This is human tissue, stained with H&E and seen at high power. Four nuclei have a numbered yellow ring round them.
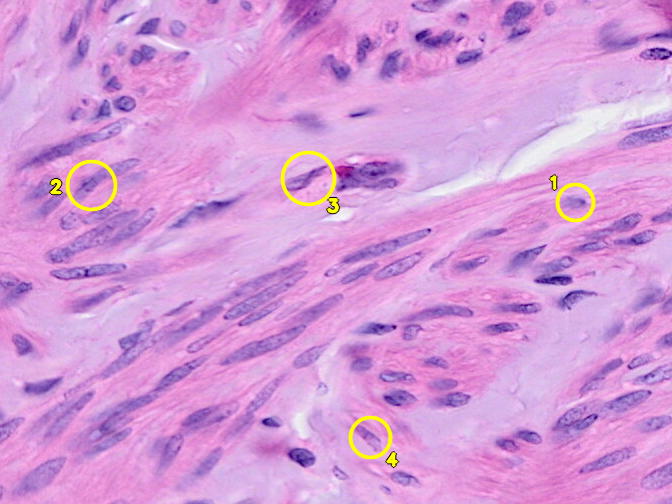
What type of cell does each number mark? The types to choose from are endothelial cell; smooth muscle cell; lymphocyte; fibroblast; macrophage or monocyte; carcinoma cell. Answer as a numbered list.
1. smooth muscle cell
2. smooth muscle cell
3. endothelial cell
4. smooth muscle cell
